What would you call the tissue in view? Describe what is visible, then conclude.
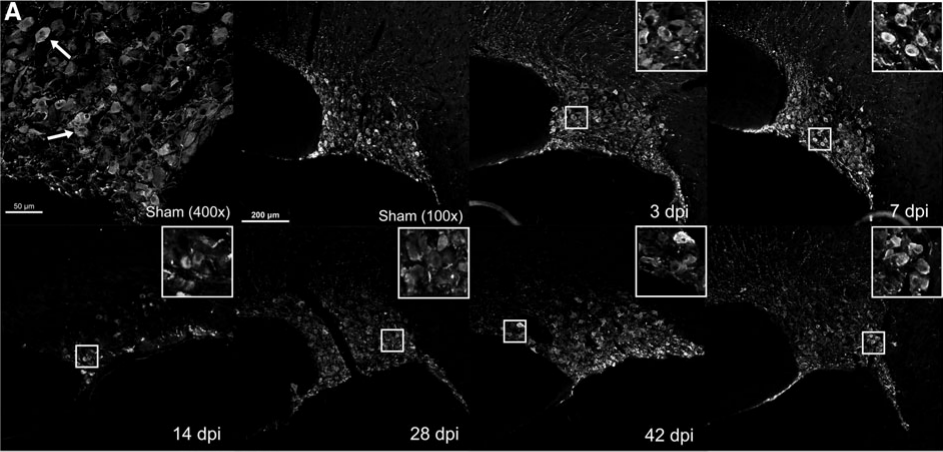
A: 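A dense band of labeled cell bodies lies along the ventral surface of the brain. The labeled cluster sits beside a dark, unlabeled fiber tract at the base of the section.
Answer: supraoptic nucleus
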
